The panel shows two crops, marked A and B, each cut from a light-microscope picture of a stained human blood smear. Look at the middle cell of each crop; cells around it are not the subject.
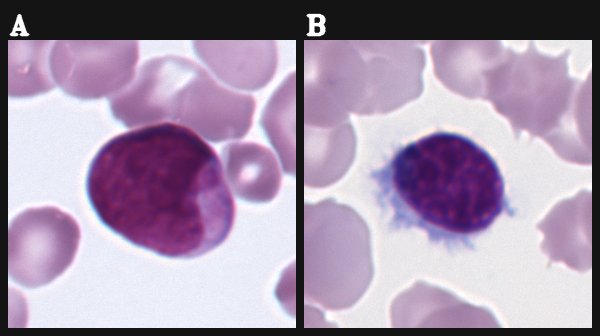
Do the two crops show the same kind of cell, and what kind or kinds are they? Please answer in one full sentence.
No, crop A depicts a myeloblast, and crop B depicts a hairy cell.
